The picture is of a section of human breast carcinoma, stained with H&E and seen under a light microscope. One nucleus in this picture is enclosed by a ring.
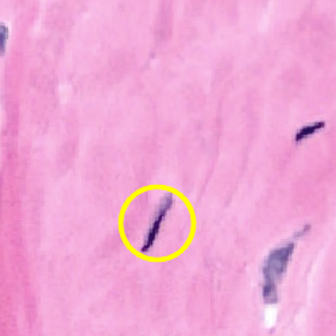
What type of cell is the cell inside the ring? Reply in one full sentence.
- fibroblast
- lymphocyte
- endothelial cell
Recorded by type, the cell inside the ring is a fibroblast.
